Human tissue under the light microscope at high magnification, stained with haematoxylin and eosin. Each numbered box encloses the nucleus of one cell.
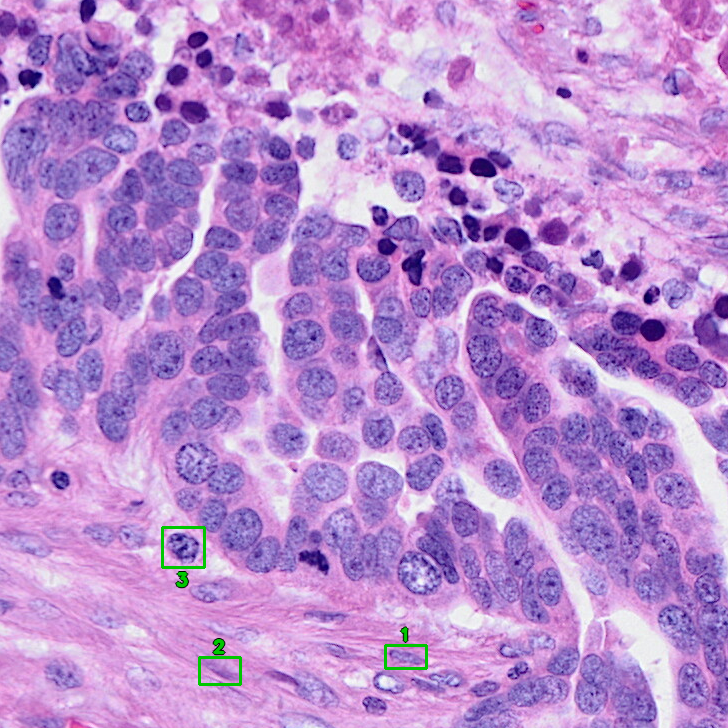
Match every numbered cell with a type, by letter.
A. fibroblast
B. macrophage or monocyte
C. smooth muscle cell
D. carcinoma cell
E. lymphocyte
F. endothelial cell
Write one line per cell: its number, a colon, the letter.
1: A
2: A
3: B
